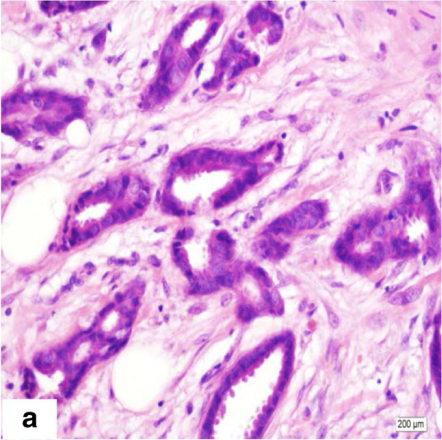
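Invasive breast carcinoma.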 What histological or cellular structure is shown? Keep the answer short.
well formed tubules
